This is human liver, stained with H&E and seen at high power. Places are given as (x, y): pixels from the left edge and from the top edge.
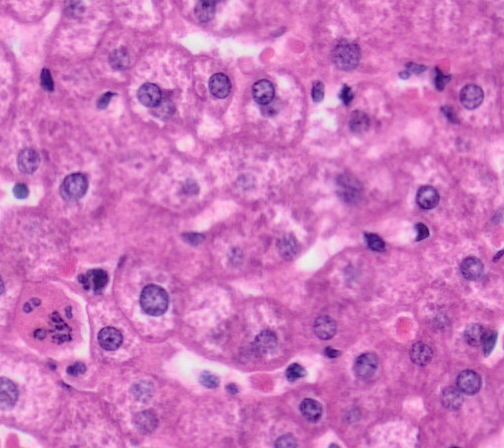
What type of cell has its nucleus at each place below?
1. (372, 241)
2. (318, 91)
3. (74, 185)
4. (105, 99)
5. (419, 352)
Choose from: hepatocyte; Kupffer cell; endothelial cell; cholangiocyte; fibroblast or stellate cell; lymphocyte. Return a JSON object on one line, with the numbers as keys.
{"1": "fibroblast or stellate cell", "2": "lymphocyte", "3": "hepatocyte", "4": "endothelial cell", "5": "hepatocyte"}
